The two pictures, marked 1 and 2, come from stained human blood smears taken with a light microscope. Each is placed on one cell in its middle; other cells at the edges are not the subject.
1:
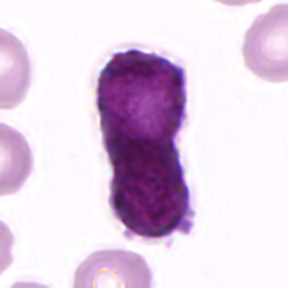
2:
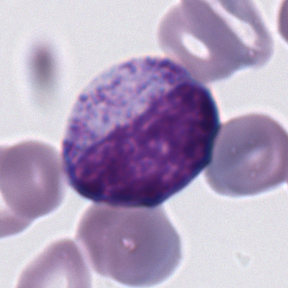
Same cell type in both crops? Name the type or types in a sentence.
No, in fact crop 1 shows an atypical promyelocyte, and crop 2 shows a myelocyte.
